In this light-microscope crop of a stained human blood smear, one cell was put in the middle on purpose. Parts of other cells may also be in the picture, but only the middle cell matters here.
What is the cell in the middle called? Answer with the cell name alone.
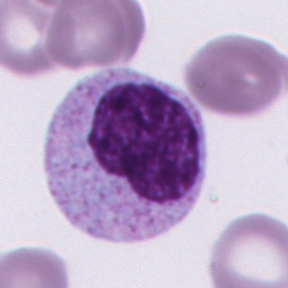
metamyelocyte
